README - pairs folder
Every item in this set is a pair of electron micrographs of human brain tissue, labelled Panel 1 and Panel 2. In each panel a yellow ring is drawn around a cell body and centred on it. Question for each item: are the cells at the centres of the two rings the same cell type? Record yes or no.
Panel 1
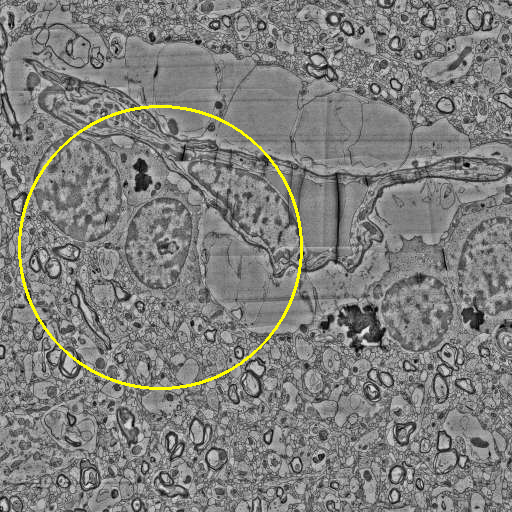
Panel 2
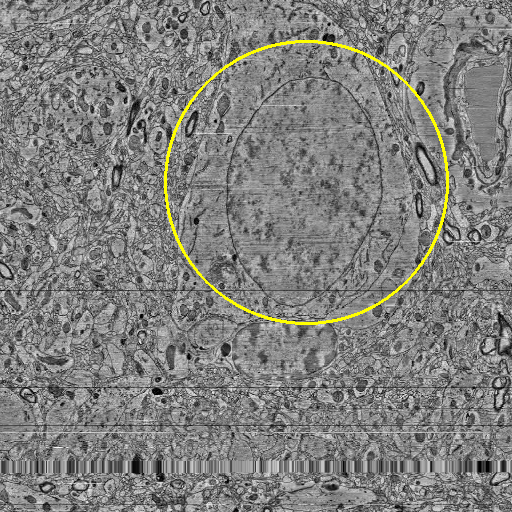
no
